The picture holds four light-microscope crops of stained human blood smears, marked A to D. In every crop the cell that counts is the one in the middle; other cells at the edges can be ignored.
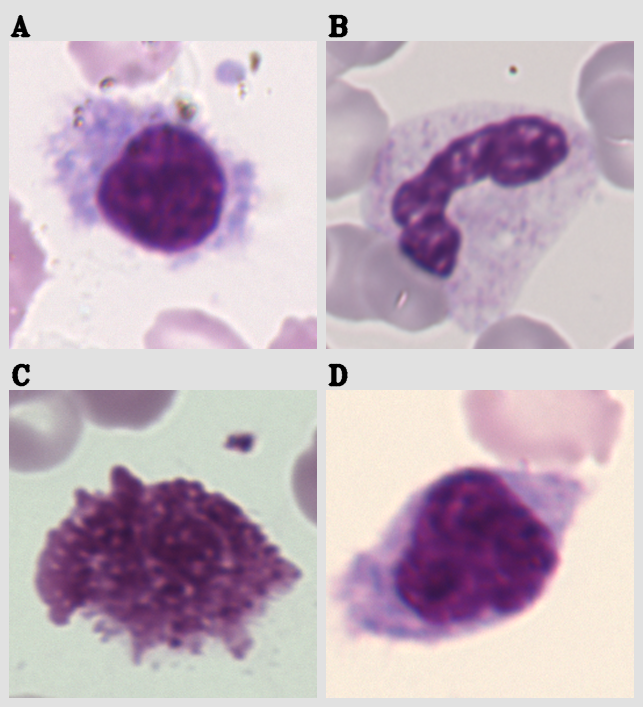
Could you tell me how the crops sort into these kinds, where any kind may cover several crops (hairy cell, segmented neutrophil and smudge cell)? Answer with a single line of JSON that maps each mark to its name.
{"A": "hairy cell", "B": "segmented neutrophil", "C": "smudge cell", "D": "hairy cell"}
